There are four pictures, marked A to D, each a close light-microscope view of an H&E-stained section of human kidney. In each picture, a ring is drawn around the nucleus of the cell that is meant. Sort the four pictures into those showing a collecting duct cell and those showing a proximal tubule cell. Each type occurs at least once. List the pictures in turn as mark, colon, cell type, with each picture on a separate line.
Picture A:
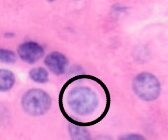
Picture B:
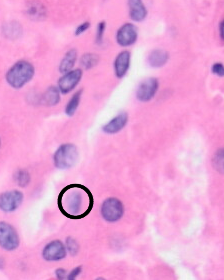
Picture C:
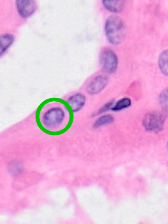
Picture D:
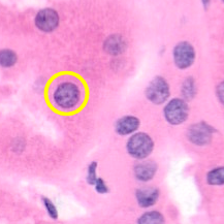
A: collecting duct cell
B: collecting duct cell
C: collecting duct cell
D: proximal tubule cell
